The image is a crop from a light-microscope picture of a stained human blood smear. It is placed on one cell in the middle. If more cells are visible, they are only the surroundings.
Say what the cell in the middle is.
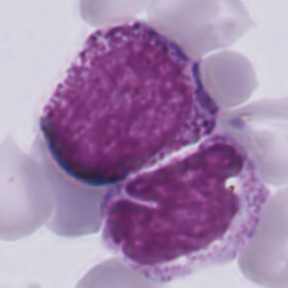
promyelocyte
